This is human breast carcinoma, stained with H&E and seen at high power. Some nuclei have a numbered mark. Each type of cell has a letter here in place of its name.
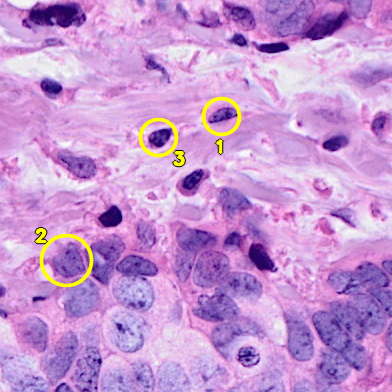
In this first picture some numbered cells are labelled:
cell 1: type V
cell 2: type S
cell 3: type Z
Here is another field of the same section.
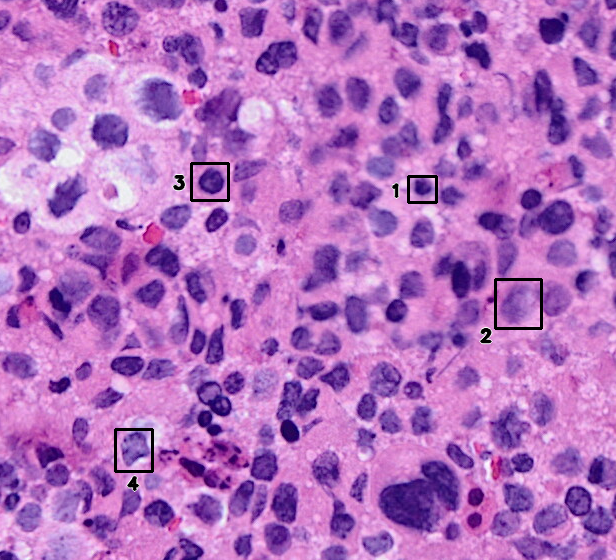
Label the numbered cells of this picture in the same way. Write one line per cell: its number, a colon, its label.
1: type Z
2: type S
3: type S
4: type S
